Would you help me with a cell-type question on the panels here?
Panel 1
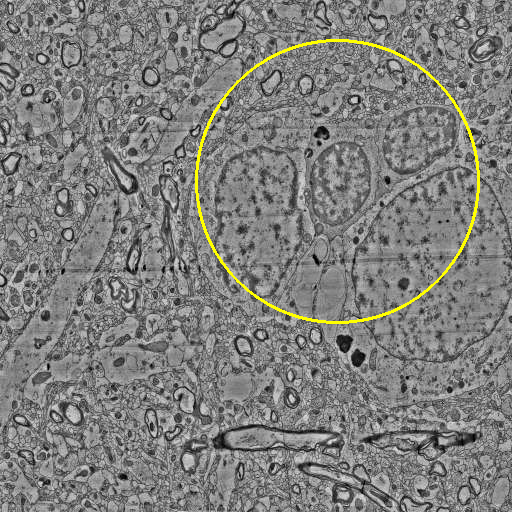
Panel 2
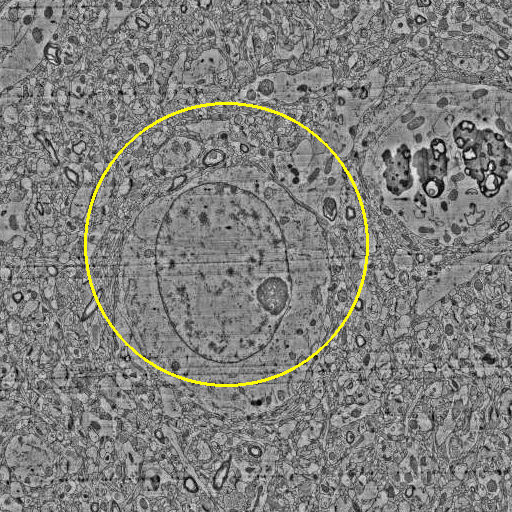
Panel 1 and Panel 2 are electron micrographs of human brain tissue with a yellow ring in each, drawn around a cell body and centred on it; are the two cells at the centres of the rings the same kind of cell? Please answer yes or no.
no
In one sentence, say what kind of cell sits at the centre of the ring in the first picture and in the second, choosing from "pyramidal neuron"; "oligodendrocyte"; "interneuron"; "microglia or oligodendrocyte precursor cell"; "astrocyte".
The first picture's ringed cell is an oligodendrocyte, while the second picture's is a pyramidal neuron.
